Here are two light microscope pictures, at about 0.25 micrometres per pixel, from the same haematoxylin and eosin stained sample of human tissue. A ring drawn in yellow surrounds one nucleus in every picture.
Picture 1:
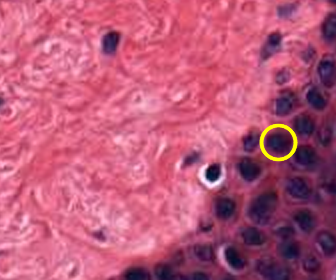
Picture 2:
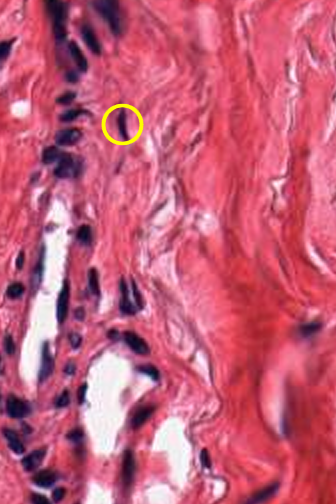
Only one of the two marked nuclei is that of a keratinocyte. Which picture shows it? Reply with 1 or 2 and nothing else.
1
